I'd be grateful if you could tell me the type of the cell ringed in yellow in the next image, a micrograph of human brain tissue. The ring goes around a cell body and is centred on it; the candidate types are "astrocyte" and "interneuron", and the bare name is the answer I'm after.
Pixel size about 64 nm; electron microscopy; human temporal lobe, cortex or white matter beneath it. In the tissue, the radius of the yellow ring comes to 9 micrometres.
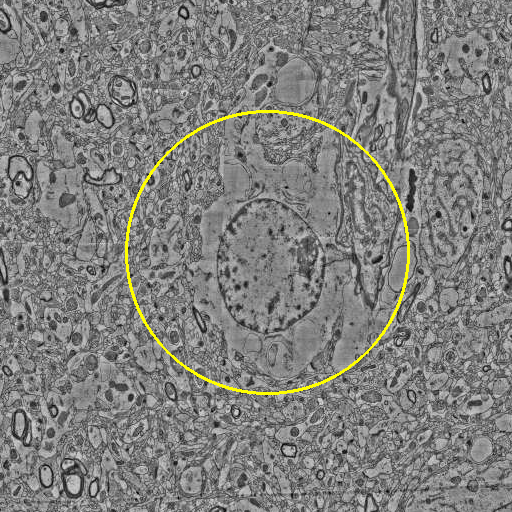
astrocyte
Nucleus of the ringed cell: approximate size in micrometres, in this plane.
The nucleus works out at approximately 9 by 7 micrometres in this plane.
